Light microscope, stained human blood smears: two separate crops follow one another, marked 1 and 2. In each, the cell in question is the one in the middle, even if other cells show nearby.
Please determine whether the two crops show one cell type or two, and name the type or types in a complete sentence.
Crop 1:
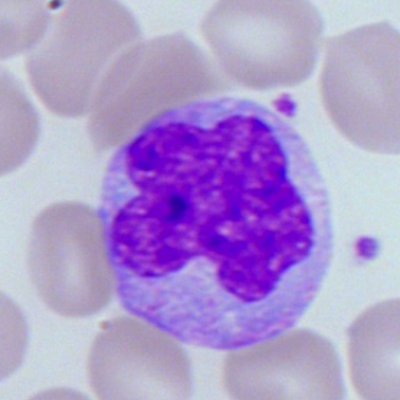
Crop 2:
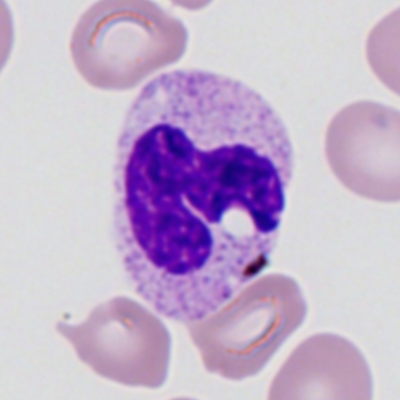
No, it is a monocyte that crop 1 shows, and a segmented neutrophil that crop 2 shows.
